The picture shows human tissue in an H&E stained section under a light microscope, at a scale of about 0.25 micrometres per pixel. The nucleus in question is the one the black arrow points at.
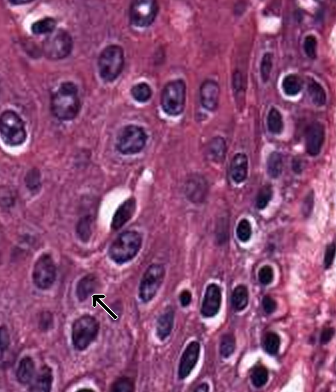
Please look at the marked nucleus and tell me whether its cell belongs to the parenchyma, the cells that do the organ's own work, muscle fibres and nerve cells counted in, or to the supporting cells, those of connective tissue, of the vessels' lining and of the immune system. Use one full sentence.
The marked nucleus is the nucleus of a squamous epithelial cell, a cell of the parenchyma.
